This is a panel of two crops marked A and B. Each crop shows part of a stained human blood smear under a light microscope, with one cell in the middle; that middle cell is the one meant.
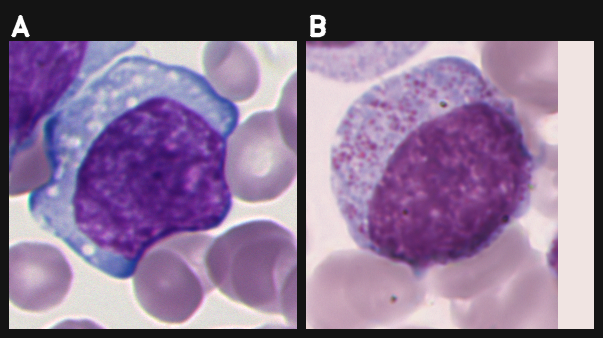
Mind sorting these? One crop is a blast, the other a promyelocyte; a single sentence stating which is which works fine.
Respectively, crops A and B show a blast and a promyelocyte.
